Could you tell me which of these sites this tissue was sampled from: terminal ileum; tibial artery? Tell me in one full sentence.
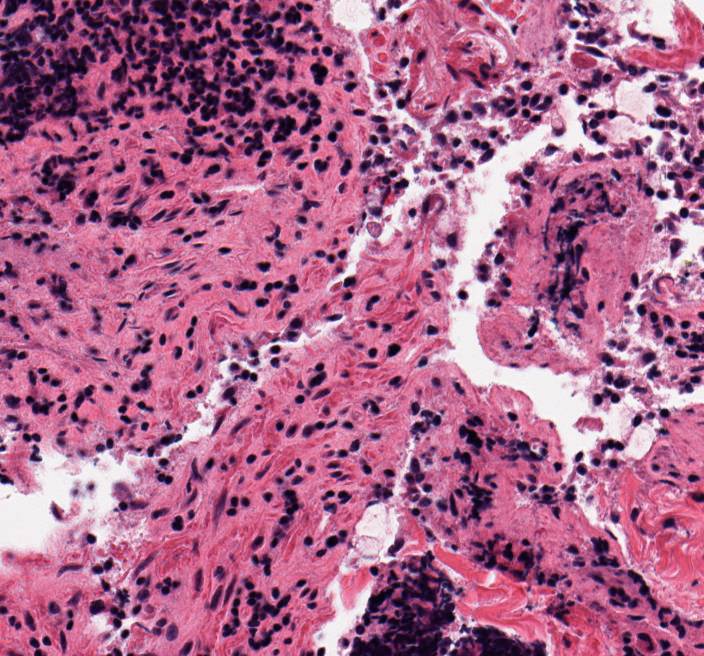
For this section, tissue was sampled from the terminal ileum.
